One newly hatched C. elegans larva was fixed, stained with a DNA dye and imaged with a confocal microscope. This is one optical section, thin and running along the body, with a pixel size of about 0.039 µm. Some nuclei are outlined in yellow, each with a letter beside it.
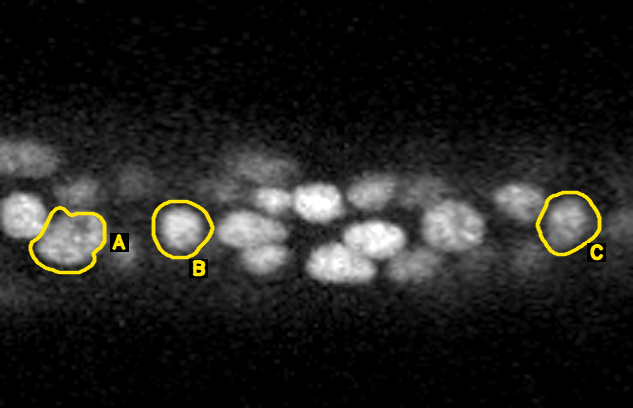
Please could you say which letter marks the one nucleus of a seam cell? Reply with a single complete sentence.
It is A that belongs to a seam cell.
